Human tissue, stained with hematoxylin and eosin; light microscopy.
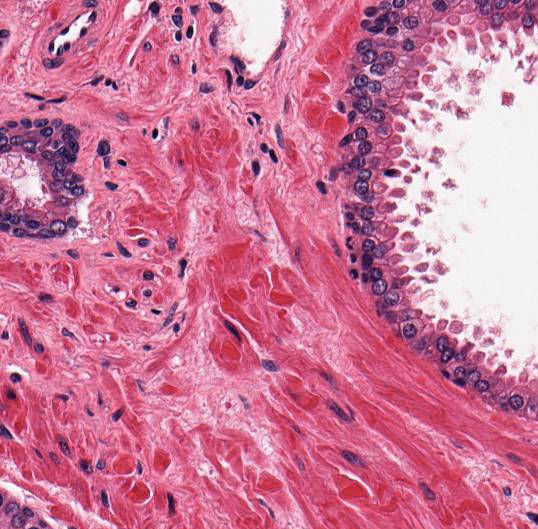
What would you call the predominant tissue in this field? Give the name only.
fibromuscular stroma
